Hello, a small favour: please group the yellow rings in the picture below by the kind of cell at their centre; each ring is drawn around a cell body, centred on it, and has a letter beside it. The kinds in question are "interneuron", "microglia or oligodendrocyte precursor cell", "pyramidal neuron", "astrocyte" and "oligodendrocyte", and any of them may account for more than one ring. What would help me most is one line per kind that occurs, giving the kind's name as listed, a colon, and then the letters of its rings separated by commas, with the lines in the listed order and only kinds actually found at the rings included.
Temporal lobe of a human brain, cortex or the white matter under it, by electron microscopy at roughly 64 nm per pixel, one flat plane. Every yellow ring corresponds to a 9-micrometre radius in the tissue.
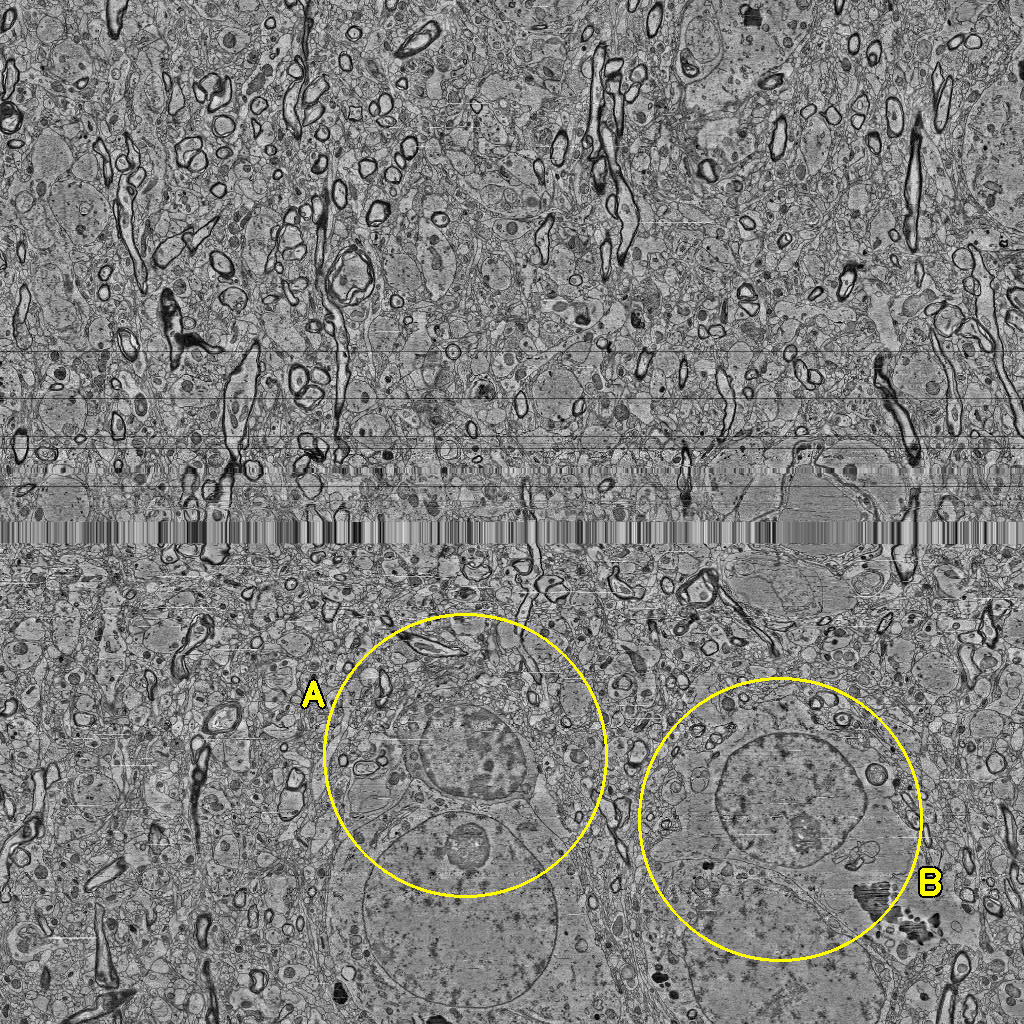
astrocyte: B
oligodendrocyte: A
